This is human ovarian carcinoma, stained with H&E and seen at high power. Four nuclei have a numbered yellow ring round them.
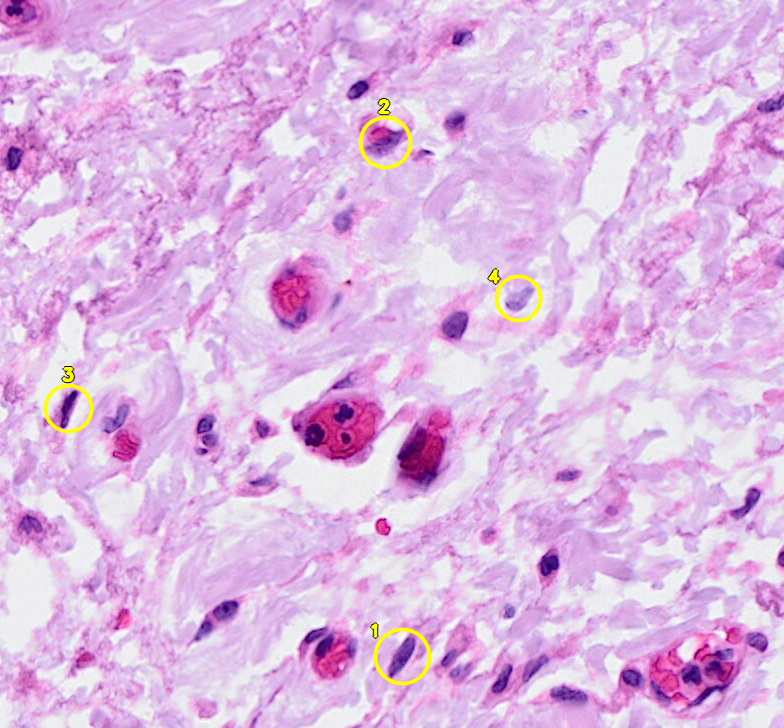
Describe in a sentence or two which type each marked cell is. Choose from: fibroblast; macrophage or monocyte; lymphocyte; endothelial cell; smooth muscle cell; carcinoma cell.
Cells 1, 3 and 4 are fibroblasts. Cell 2 is an endothelial cell.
